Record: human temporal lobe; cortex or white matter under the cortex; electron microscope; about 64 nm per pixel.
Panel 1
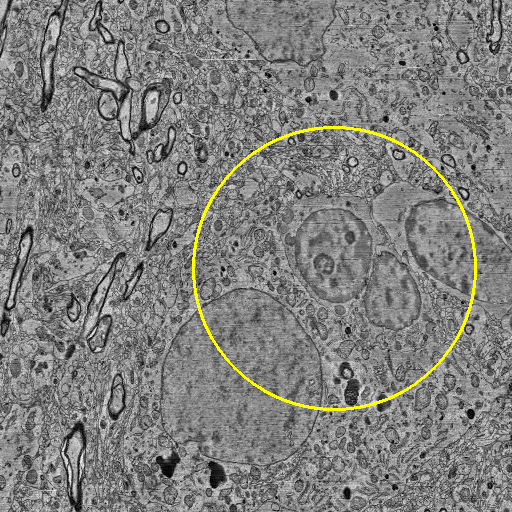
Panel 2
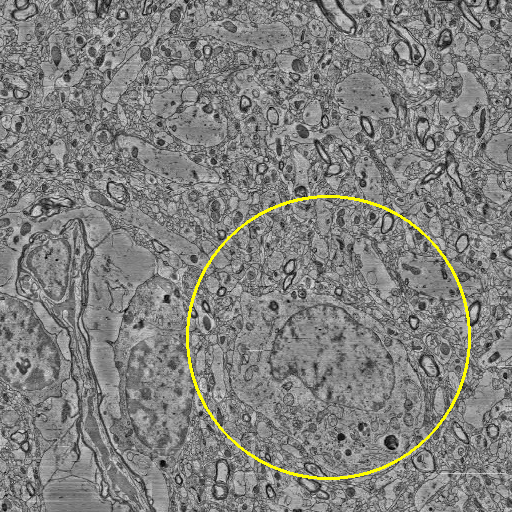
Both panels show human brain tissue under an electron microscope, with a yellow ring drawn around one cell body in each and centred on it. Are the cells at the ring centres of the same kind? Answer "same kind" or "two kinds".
two kinds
